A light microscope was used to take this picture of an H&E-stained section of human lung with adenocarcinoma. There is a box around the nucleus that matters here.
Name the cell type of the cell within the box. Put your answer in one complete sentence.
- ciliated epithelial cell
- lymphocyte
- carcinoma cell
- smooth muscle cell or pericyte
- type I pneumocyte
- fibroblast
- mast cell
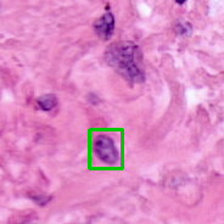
At the level of cell identity, the cell within the box is a mast cell.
